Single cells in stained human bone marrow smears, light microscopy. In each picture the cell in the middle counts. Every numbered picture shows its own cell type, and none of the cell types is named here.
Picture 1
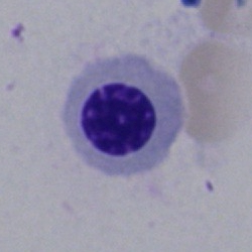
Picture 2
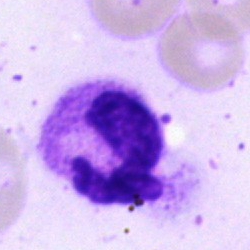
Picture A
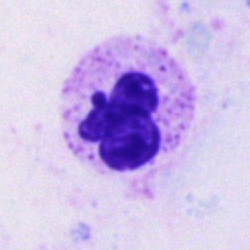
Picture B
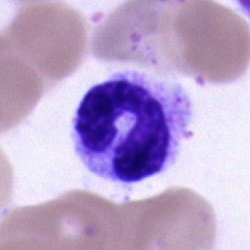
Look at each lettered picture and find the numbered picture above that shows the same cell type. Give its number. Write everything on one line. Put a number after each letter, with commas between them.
A 2, B 2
